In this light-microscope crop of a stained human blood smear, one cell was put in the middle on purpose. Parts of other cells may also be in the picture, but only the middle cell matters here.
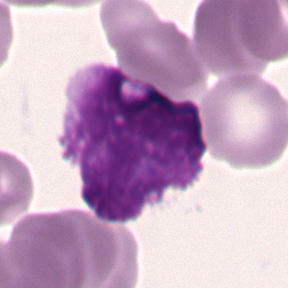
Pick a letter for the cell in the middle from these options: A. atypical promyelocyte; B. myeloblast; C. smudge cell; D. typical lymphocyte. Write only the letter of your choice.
C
